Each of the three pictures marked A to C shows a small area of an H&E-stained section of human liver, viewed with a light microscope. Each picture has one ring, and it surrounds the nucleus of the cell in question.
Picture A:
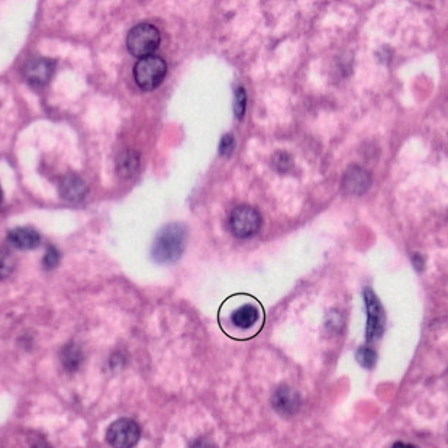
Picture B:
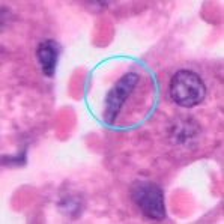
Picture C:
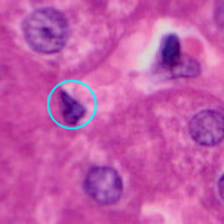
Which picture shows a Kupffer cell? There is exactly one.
B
